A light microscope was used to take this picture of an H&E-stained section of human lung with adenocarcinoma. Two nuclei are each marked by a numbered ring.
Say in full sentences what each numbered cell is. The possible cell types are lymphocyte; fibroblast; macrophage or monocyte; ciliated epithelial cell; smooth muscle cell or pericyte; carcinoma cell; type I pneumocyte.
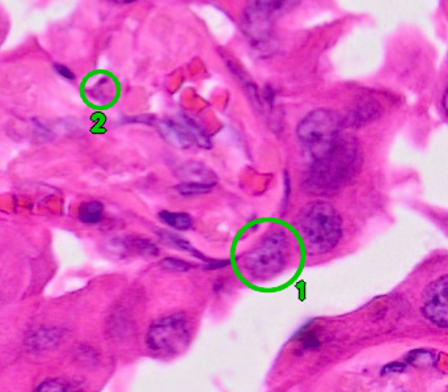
Cell 1 is a carcinoma cell. Cell 2 is a fibroblast.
